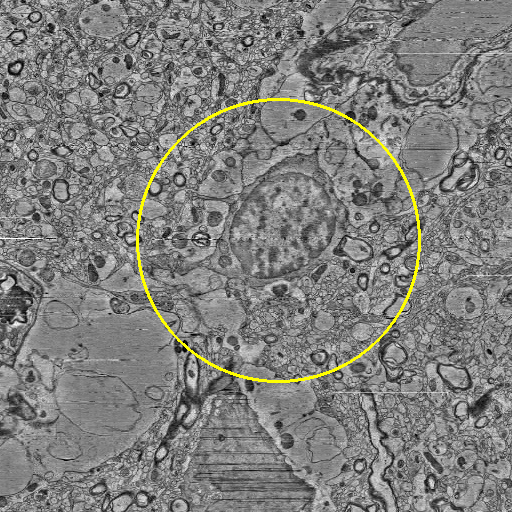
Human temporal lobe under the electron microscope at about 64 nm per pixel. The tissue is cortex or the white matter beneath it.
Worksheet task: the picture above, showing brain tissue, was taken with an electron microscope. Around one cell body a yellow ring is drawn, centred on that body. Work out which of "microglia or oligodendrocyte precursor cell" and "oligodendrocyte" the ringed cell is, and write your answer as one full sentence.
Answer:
It is an oligodendrocyte whose cell body lies at the centre of the yellow ring.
